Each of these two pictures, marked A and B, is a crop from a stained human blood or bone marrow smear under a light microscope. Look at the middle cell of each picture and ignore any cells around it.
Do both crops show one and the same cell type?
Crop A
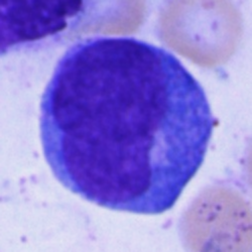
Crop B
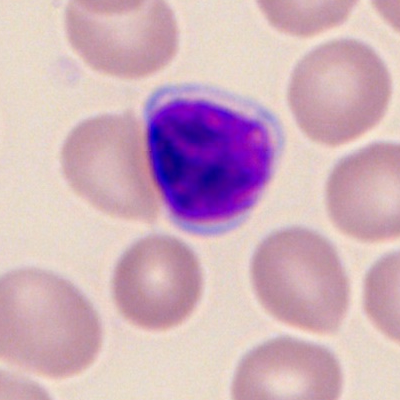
no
